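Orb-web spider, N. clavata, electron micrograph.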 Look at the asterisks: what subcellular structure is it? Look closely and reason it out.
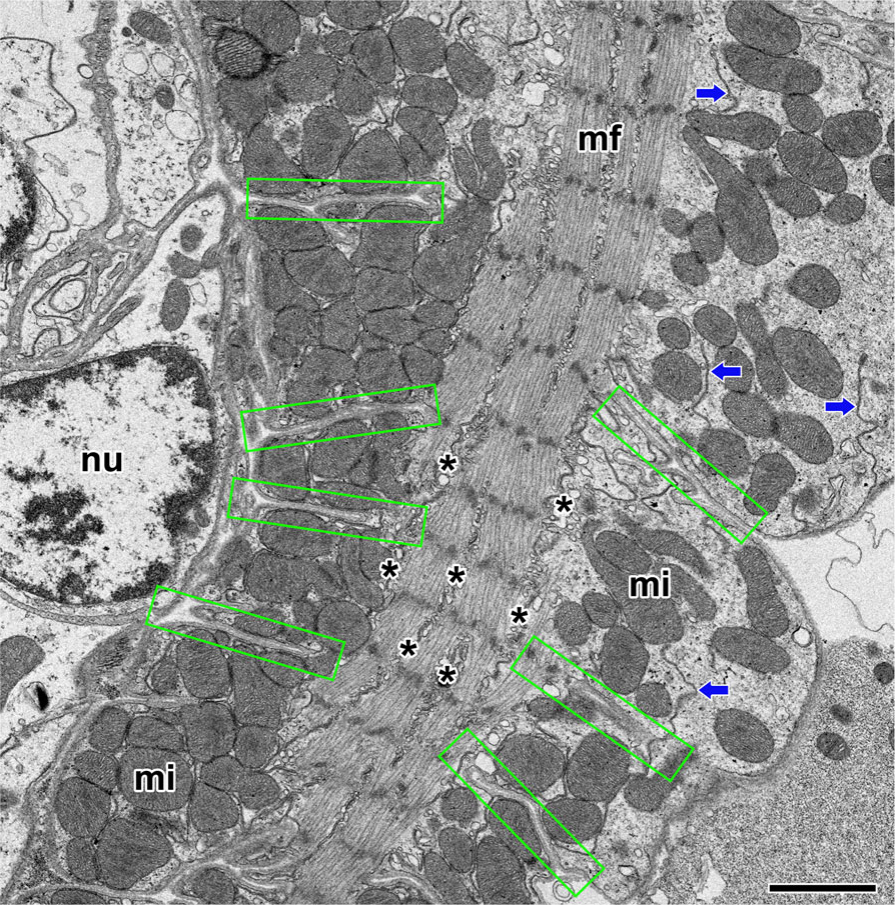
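Sarcoplasmic reticulum. Small pale membrane-bound vesicles and tubules lie between the myofibril bundles at the asterisks.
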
